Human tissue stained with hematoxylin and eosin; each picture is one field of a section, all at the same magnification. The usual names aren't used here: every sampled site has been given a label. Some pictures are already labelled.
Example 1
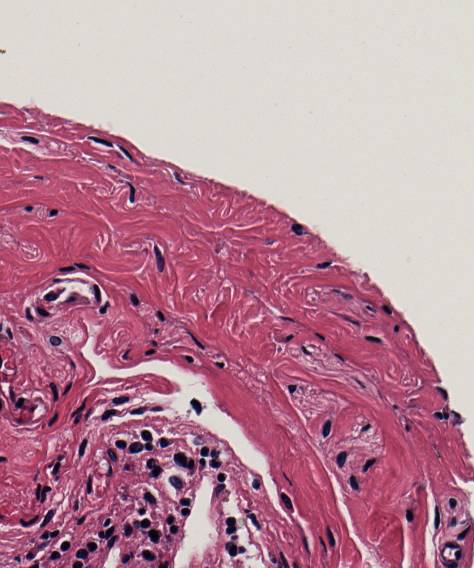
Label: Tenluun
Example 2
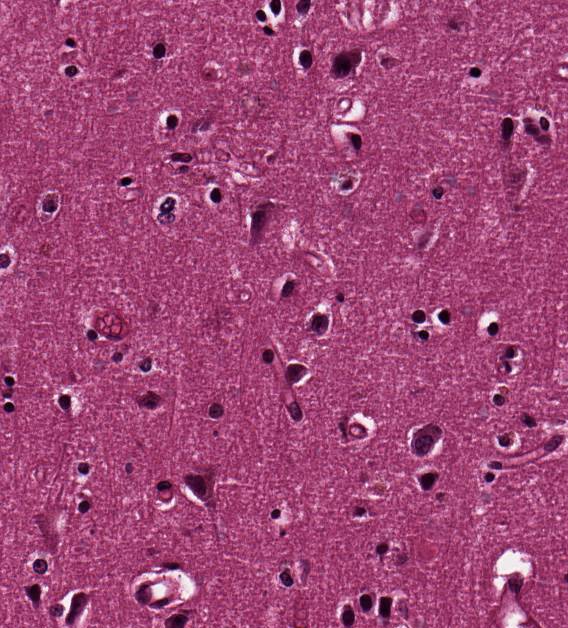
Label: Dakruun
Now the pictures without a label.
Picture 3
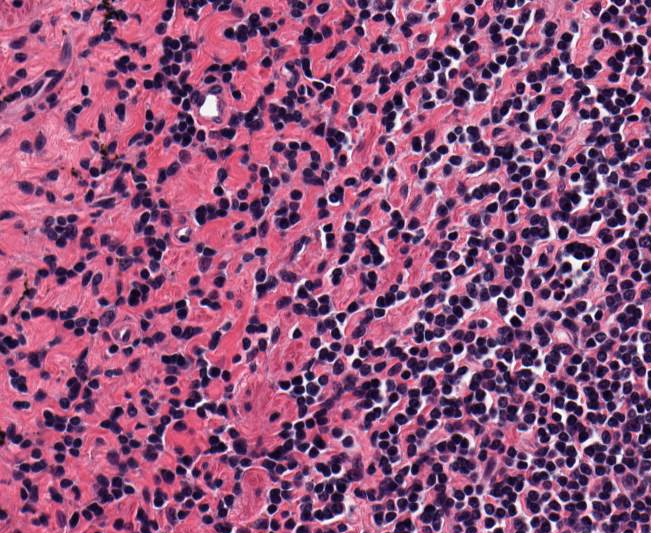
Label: Tenluun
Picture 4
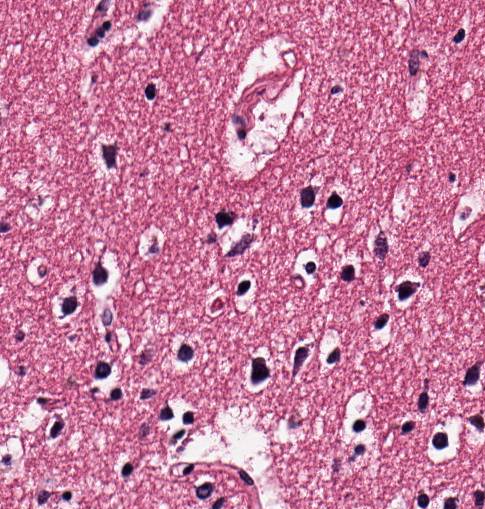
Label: Dakruun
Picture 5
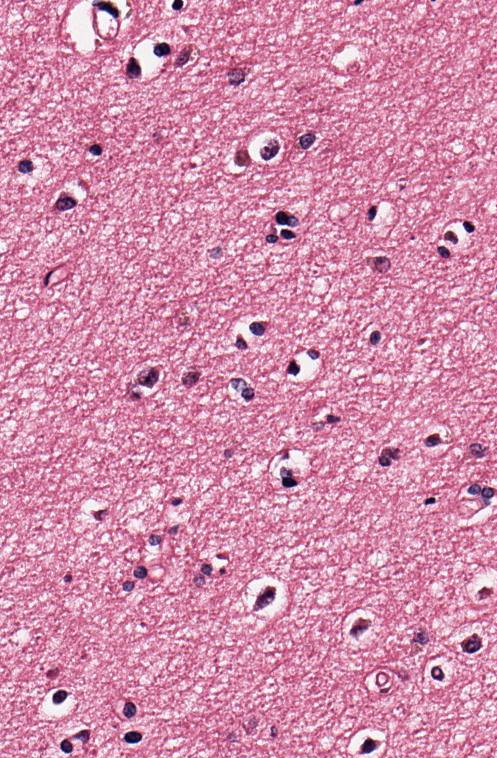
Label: Dakruun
